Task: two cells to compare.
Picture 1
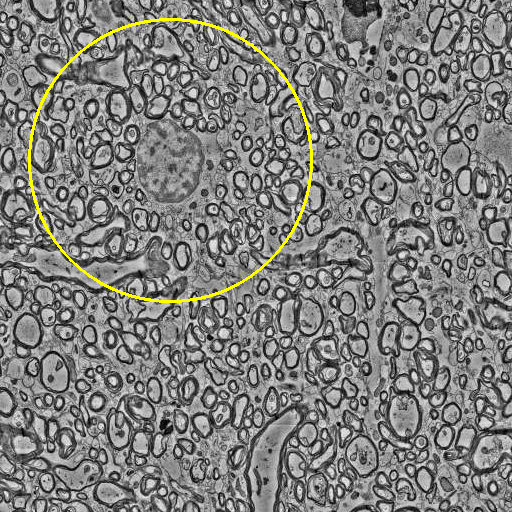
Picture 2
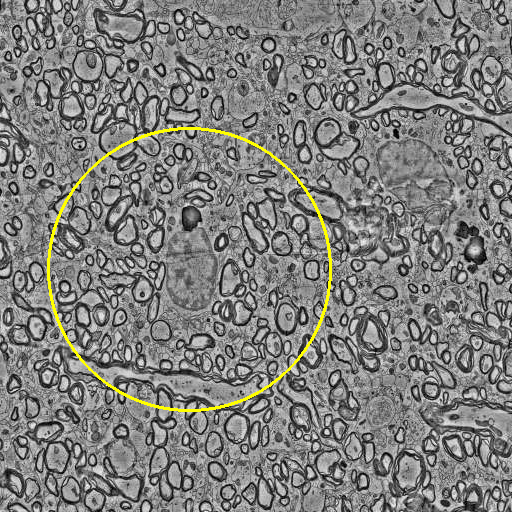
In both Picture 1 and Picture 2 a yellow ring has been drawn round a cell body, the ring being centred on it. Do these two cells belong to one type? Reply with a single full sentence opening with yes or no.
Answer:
Yes, the two cells at the ring centres in Picture 1 and Picture 2 share one type.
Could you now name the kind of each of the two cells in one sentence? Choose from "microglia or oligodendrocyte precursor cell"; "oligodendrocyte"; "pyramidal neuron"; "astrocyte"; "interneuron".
Each of the two cells is an oligodendrocyte.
